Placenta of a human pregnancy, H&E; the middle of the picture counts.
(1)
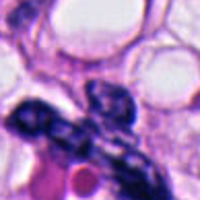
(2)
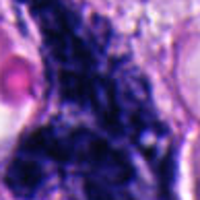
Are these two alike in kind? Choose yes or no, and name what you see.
Yes. Syncytial knots.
